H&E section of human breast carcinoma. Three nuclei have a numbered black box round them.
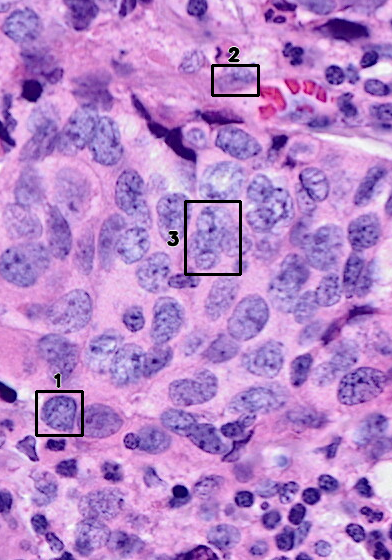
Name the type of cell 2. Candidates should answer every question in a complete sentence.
The cell referred to as 2 is an endothelial cell.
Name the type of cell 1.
The cell assigned the number 1 is a carcinoma cell.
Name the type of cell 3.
The cell numbered 3 represents a carcinoma cell.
